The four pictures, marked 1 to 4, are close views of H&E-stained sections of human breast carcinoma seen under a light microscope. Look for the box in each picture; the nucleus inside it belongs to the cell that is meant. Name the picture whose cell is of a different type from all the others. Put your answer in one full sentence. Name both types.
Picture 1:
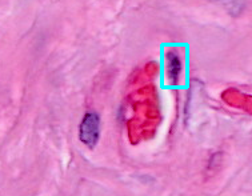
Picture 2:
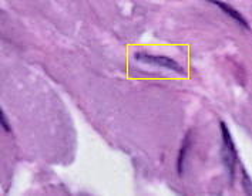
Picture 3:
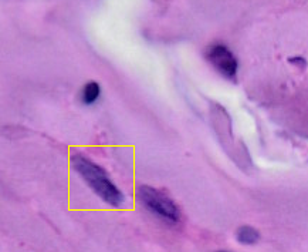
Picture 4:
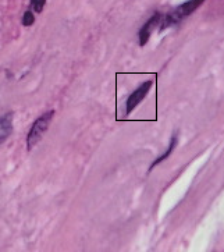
Unlike the rest, which show fibroblasts, picture 1 shows an endothelial cell.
